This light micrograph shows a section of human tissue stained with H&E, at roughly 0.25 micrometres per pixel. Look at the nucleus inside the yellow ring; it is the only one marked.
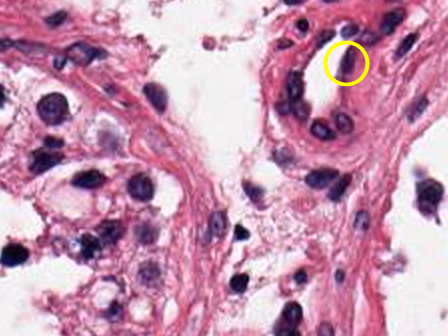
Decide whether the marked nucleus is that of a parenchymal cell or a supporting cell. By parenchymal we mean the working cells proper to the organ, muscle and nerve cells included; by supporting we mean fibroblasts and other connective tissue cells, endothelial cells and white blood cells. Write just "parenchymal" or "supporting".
supporting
